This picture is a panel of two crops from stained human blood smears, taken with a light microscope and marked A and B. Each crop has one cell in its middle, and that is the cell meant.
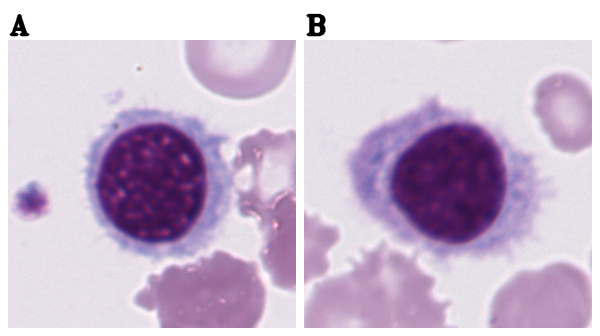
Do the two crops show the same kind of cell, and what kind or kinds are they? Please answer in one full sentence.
Yes, hairy cells are seen in both crops.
